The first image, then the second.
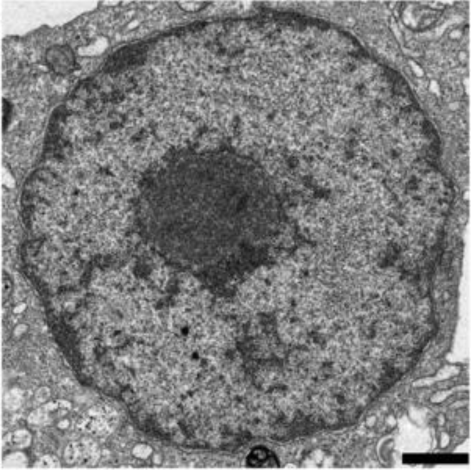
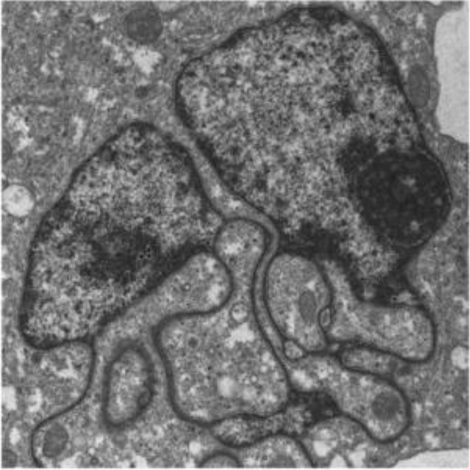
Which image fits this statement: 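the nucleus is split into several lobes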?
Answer: the second image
